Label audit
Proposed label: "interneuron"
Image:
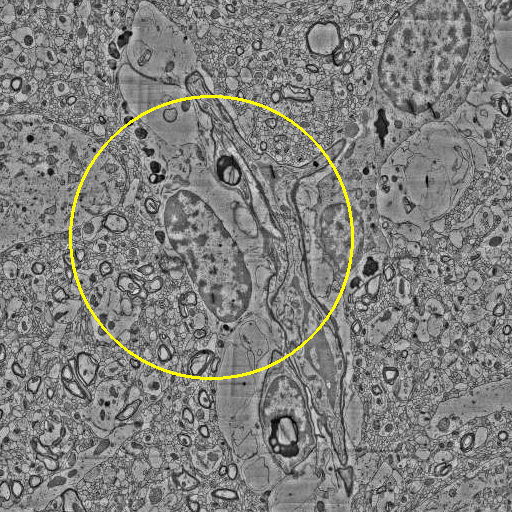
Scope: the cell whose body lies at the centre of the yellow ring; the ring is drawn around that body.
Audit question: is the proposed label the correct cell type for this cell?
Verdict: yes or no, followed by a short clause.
No, this cell is of another type.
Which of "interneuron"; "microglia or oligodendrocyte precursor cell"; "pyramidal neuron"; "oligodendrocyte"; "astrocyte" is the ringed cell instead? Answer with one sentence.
It is a microglial cell or oligodendrocyte precursor cell that the ring is centred on.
